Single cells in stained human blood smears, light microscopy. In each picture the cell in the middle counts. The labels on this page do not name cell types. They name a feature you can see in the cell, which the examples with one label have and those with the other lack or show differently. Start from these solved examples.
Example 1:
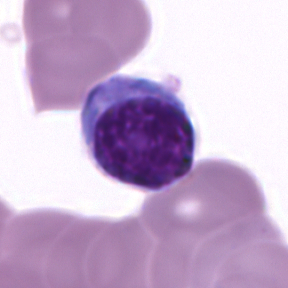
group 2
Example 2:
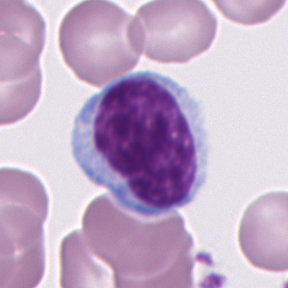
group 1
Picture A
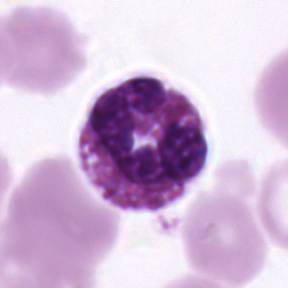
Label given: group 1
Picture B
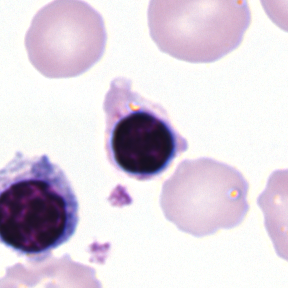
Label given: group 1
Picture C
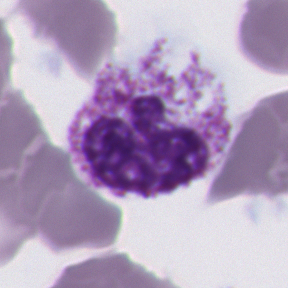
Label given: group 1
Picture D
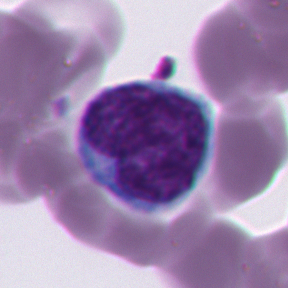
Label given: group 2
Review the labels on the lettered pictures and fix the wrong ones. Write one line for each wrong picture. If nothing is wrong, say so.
A: not group 1 but group 2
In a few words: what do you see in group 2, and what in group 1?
group 2: smooth outline; group 1: ragged outline or projections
